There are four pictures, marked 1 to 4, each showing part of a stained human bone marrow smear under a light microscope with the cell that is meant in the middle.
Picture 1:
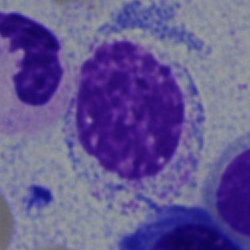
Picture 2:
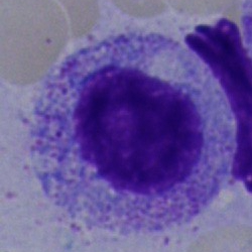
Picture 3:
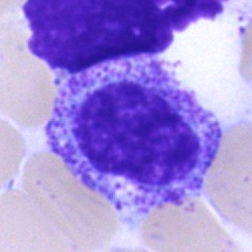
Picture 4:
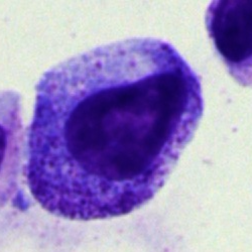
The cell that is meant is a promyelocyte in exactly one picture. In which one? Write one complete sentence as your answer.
The picture with the promyelocyte is 4.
